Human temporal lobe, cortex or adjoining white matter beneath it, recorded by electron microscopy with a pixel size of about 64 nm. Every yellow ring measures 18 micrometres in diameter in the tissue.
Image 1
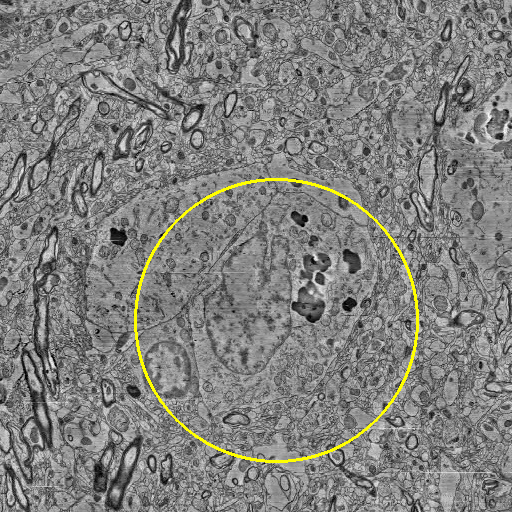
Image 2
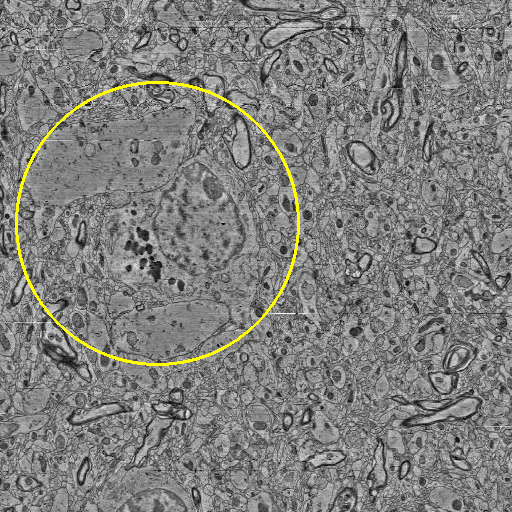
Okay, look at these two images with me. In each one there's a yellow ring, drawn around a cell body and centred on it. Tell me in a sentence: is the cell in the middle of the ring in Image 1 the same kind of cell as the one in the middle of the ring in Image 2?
Yes, they're the same kind of cell.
